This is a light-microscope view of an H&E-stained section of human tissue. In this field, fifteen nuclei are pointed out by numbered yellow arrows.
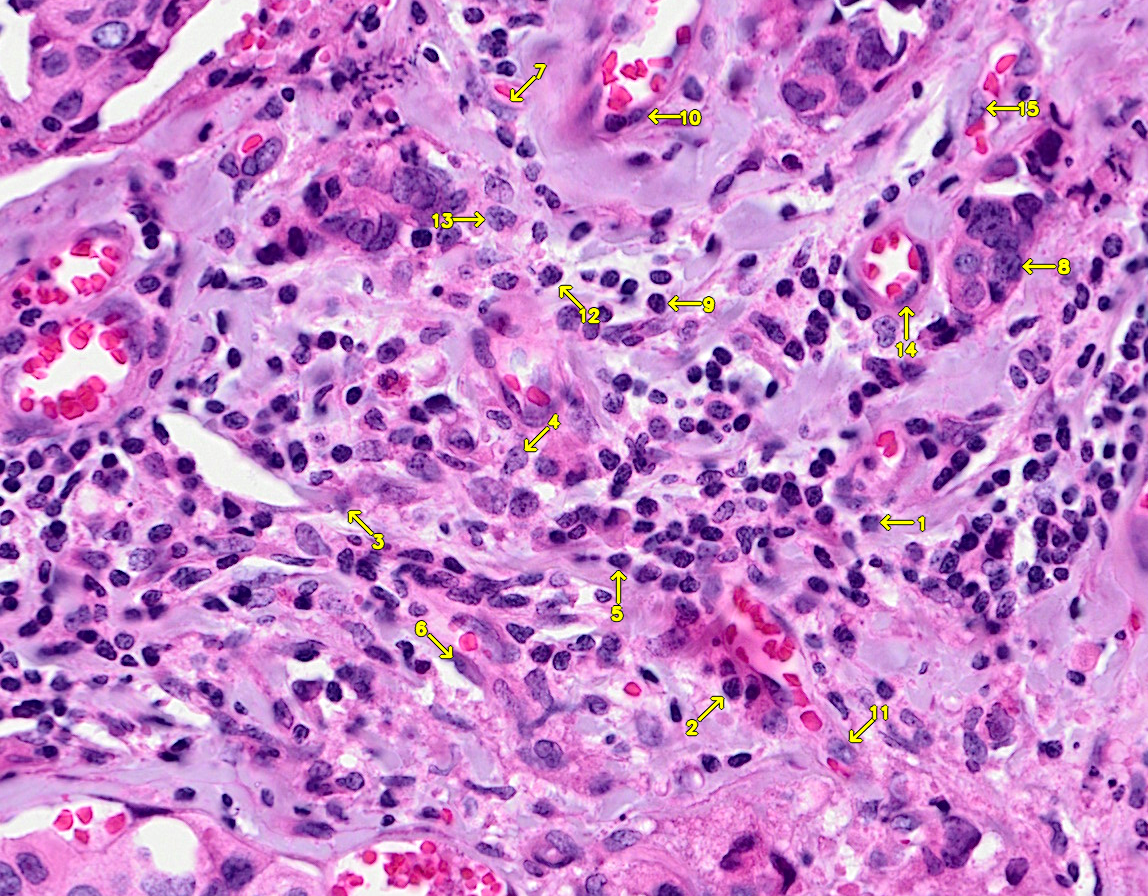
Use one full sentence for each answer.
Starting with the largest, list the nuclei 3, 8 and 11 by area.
Largest first, the order by area is 8, 11, 3.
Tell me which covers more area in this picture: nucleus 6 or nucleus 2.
Nucleus 6 is larger, with an area about 2 times that of nucleus 2.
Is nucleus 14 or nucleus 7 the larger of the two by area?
It is nucleus 7, which covers about 1.5 times the area of nucleus 14.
